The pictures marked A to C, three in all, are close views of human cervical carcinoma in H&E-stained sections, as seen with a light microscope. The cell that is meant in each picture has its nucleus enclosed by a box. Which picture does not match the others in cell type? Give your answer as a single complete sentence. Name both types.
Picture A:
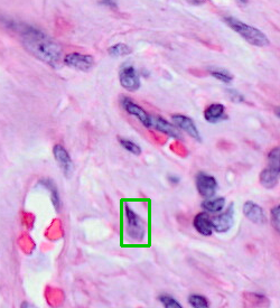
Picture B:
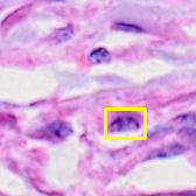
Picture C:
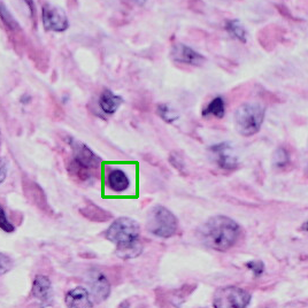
Picture C is the odd one out: it shows a lymphocyte, while the others show “macrophages or monocytes”.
